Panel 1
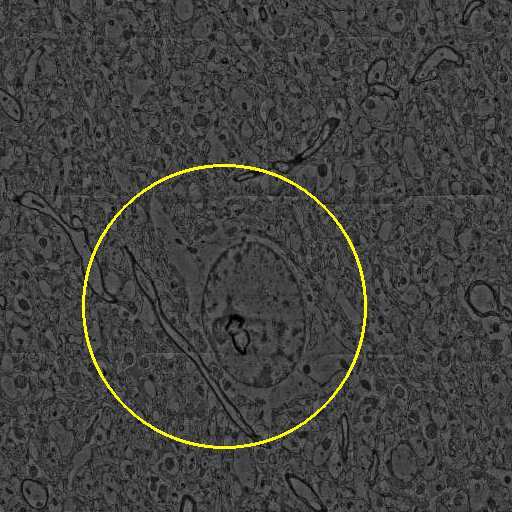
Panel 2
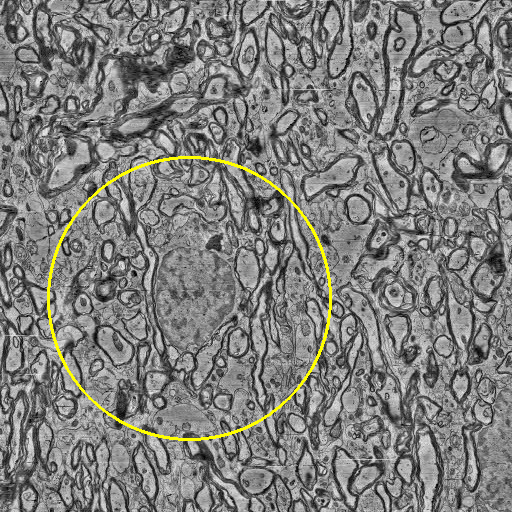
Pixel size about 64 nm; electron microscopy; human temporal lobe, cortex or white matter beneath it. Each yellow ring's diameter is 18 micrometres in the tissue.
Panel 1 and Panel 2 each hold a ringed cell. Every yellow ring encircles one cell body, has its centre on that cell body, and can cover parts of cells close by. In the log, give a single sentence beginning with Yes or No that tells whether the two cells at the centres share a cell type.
No, in Panel 1 and Panel 2 the centred cells are of two cell types.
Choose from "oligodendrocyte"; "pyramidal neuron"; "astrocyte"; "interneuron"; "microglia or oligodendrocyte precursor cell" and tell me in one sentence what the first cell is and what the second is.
What the first ring is centred on is an astrocyte; what the second ring is centred on is an oligodendrocyte.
